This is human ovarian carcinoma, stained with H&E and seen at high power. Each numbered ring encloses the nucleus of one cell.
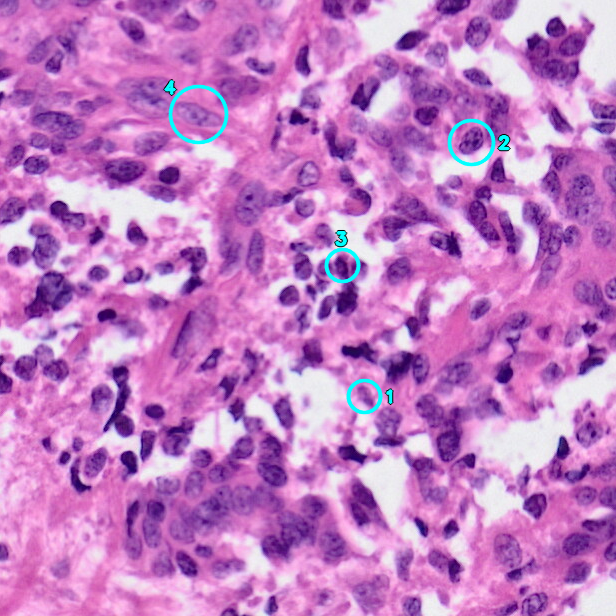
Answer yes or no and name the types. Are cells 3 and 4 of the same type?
No, cell 3 is a carcinoma cell and cell 4 is an endothelial cell.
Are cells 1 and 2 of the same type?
Yes, both are macrophages or monocytes.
